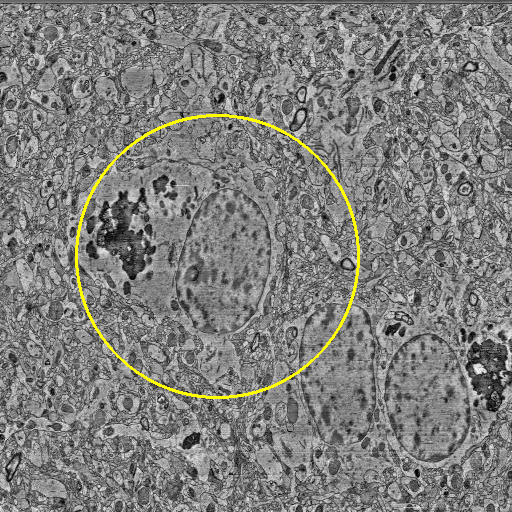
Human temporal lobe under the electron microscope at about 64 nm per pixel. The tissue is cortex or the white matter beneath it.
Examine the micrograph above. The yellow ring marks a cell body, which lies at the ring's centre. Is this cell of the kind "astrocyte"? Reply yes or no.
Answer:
yes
